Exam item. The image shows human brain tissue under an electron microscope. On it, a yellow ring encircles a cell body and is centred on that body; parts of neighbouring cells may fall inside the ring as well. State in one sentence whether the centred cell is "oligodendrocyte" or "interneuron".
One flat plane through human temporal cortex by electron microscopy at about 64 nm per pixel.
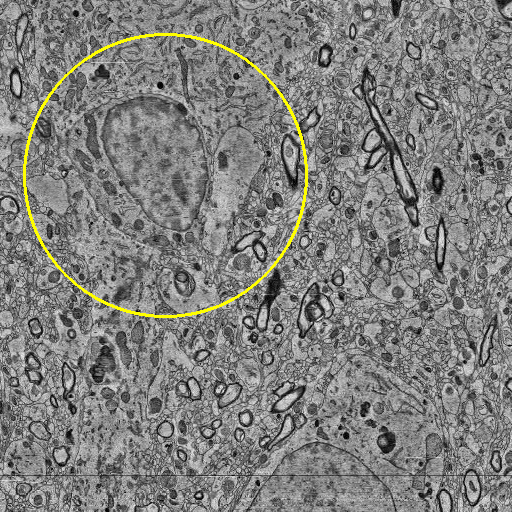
The cell body centred in the ring is an oligodendrocyte.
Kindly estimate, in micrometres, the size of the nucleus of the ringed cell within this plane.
Roughly 9 by 6 micrometers, clearly longer than it is wide in this plane.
